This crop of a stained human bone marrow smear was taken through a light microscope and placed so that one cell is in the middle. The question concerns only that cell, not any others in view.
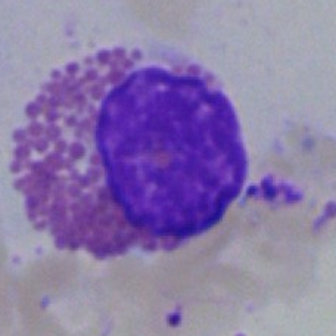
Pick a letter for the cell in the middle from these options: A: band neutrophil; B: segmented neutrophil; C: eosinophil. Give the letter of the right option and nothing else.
C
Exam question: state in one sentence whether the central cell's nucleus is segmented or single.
A single compact nucleus is present, shaped round, oval or like a kidney.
